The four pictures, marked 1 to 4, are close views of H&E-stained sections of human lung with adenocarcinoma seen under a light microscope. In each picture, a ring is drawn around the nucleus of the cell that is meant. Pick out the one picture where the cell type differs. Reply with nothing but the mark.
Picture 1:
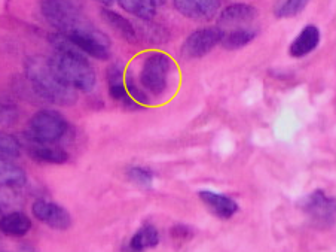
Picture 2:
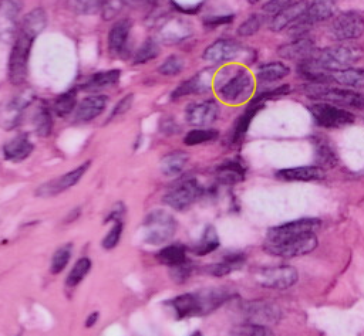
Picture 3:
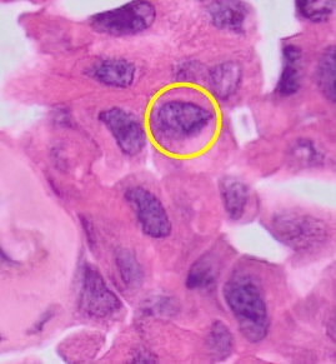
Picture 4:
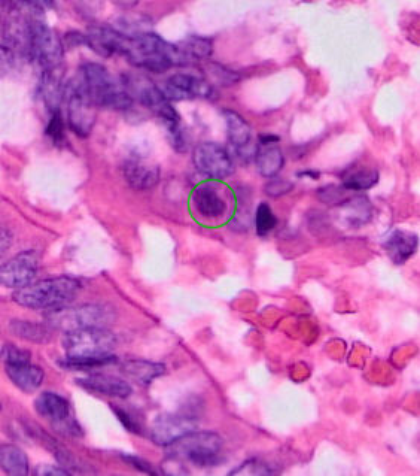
3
